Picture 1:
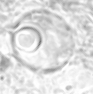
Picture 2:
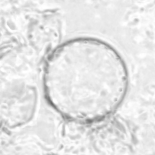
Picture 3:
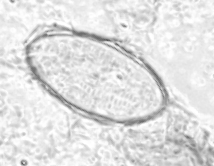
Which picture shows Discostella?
Picture 1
